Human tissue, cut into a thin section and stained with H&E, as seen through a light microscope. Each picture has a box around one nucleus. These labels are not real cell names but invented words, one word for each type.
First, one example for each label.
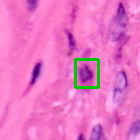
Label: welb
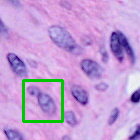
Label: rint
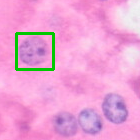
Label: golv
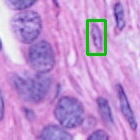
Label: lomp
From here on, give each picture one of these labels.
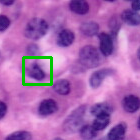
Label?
welb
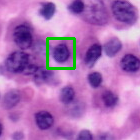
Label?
welb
